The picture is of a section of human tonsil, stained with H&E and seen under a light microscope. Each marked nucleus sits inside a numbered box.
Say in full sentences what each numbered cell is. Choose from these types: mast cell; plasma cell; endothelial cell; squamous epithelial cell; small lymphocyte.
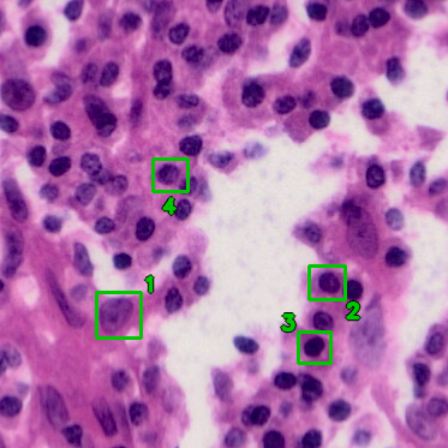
Cell 1 is a squamous epithelial cell. Cells 2, 3 and 4 are plasma cells.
